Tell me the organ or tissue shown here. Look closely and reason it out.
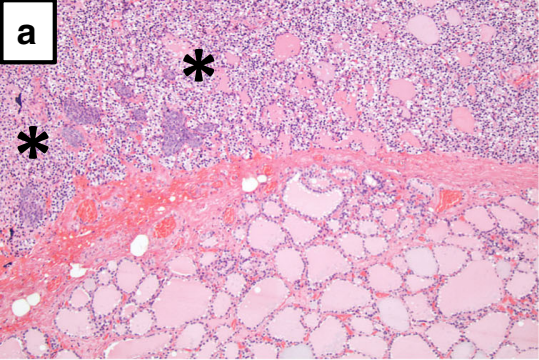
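Thyroid glands. The lower half is made of round follicles filled with pink colloid. A band of pink fibrous tissue separates it from the upper tissue.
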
